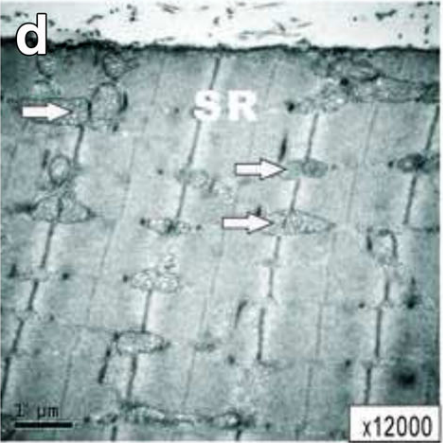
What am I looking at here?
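Skeletal muscle fiber in longitudinal section showing myofibrils arranged in parallel with regular sarcomeres bounded by dark, aligned Z lines. Small oval mitochondria lie in rows between the myofibrils near the Z lines, and the fiber border at the top is sharply defined.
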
